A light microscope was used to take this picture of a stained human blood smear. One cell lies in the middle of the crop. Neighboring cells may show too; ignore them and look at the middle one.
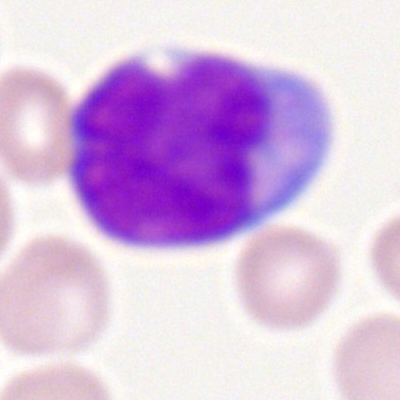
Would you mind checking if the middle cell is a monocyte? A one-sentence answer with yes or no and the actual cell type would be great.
No, the central cell is not to be called a monocyte, being a myeloblast.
